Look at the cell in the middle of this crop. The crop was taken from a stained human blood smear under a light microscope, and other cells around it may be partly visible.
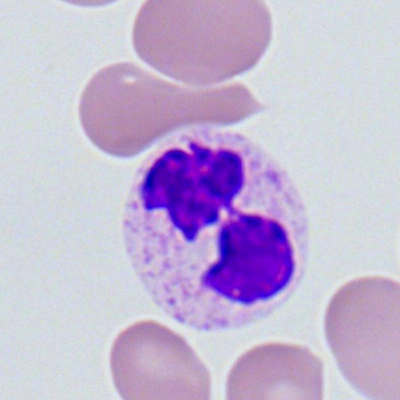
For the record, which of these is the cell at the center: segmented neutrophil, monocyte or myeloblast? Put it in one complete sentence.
The cell nearest the centre of this crop is a segmented neutrophil.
